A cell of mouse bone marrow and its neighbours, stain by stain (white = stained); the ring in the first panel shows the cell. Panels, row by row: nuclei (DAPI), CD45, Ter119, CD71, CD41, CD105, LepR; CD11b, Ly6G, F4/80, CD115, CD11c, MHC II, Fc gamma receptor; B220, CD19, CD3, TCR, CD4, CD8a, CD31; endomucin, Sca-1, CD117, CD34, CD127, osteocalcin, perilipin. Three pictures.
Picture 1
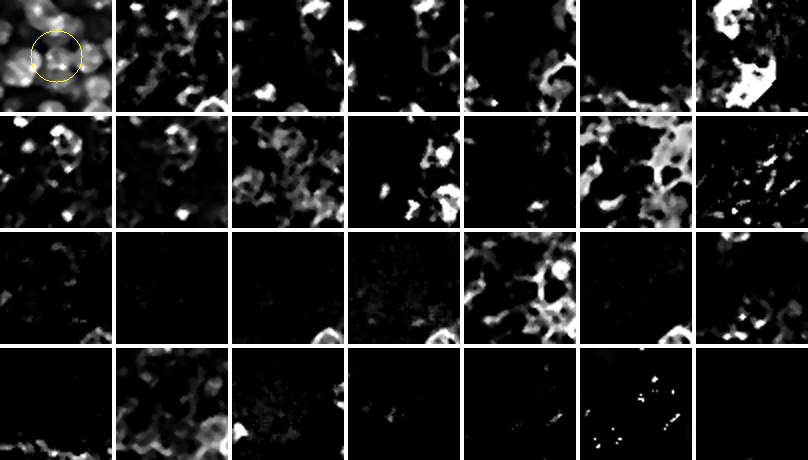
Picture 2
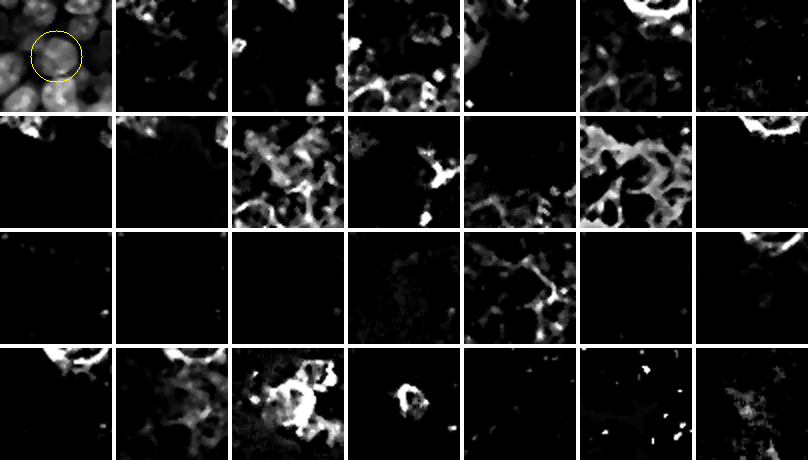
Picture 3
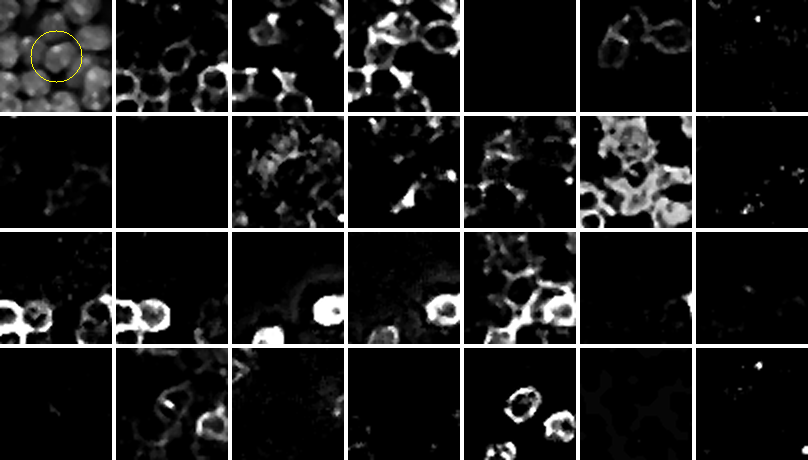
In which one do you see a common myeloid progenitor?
In picture 2.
